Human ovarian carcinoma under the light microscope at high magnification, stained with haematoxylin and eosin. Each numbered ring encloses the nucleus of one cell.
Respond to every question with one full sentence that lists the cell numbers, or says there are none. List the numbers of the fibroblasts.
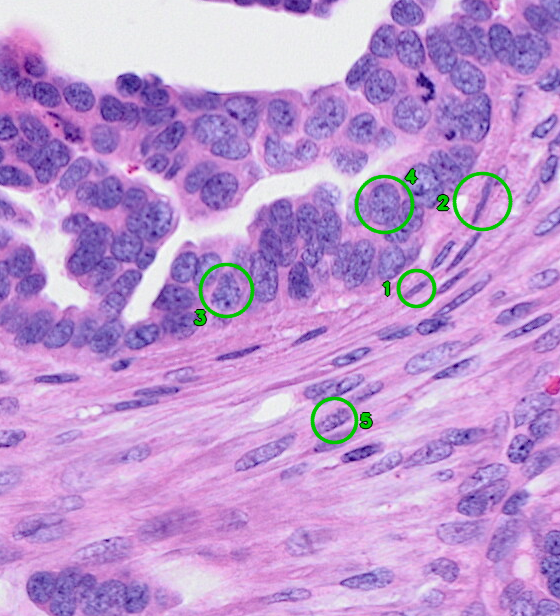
The cells numbered 1, 2 and 5 are, by type, fibroblasts.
